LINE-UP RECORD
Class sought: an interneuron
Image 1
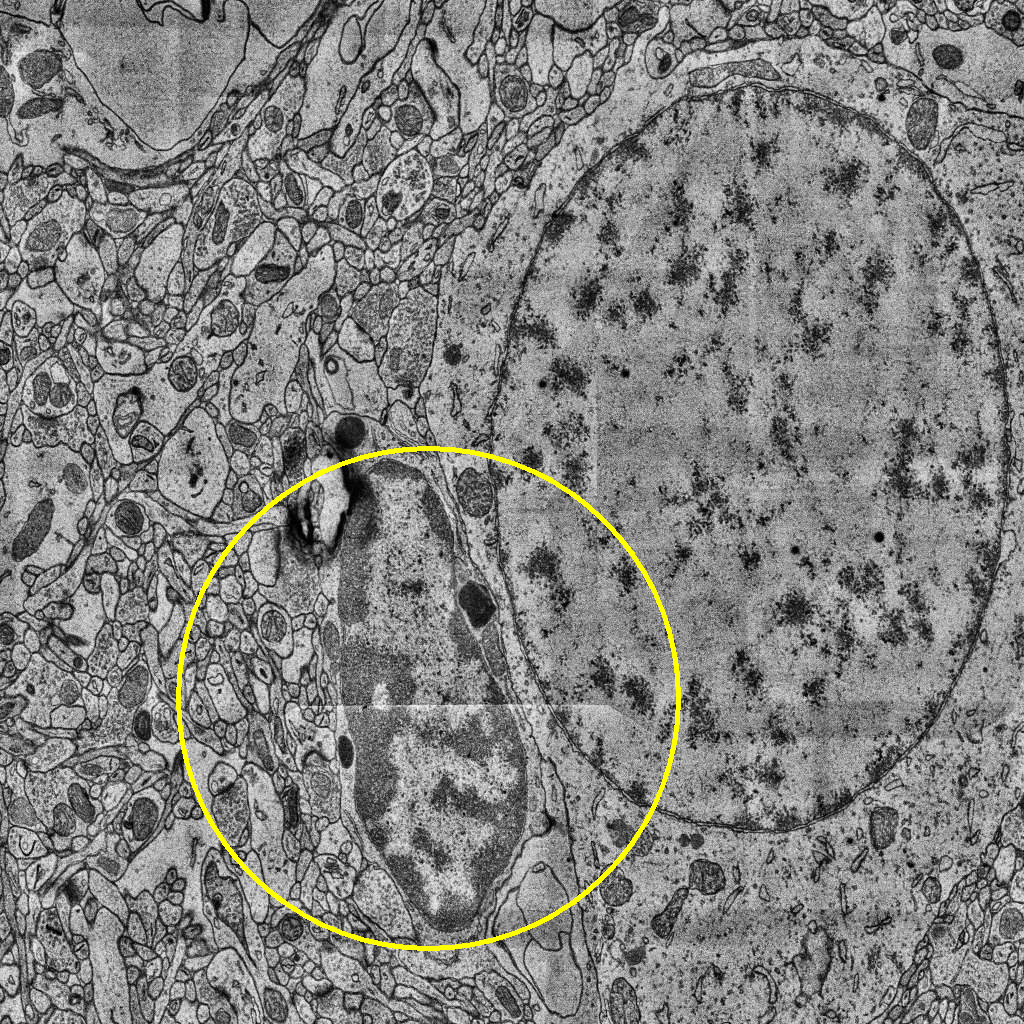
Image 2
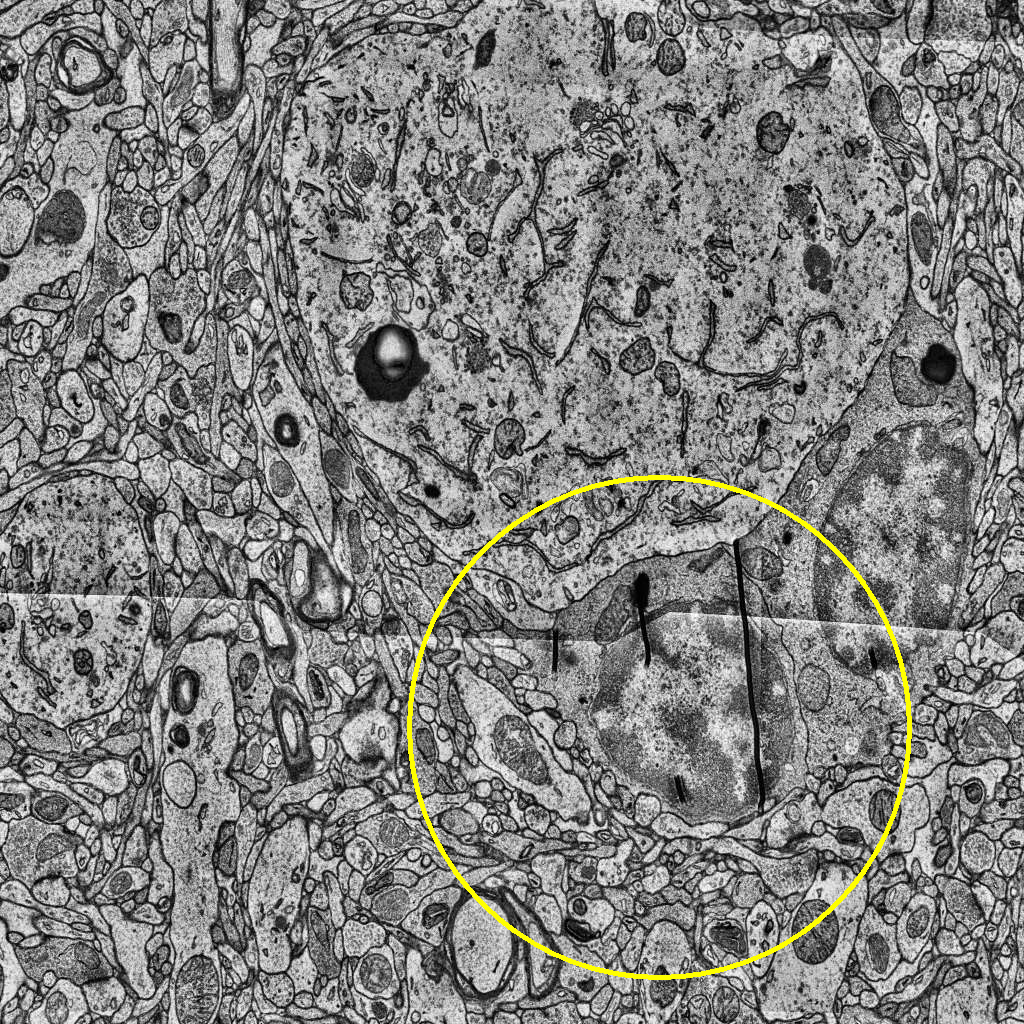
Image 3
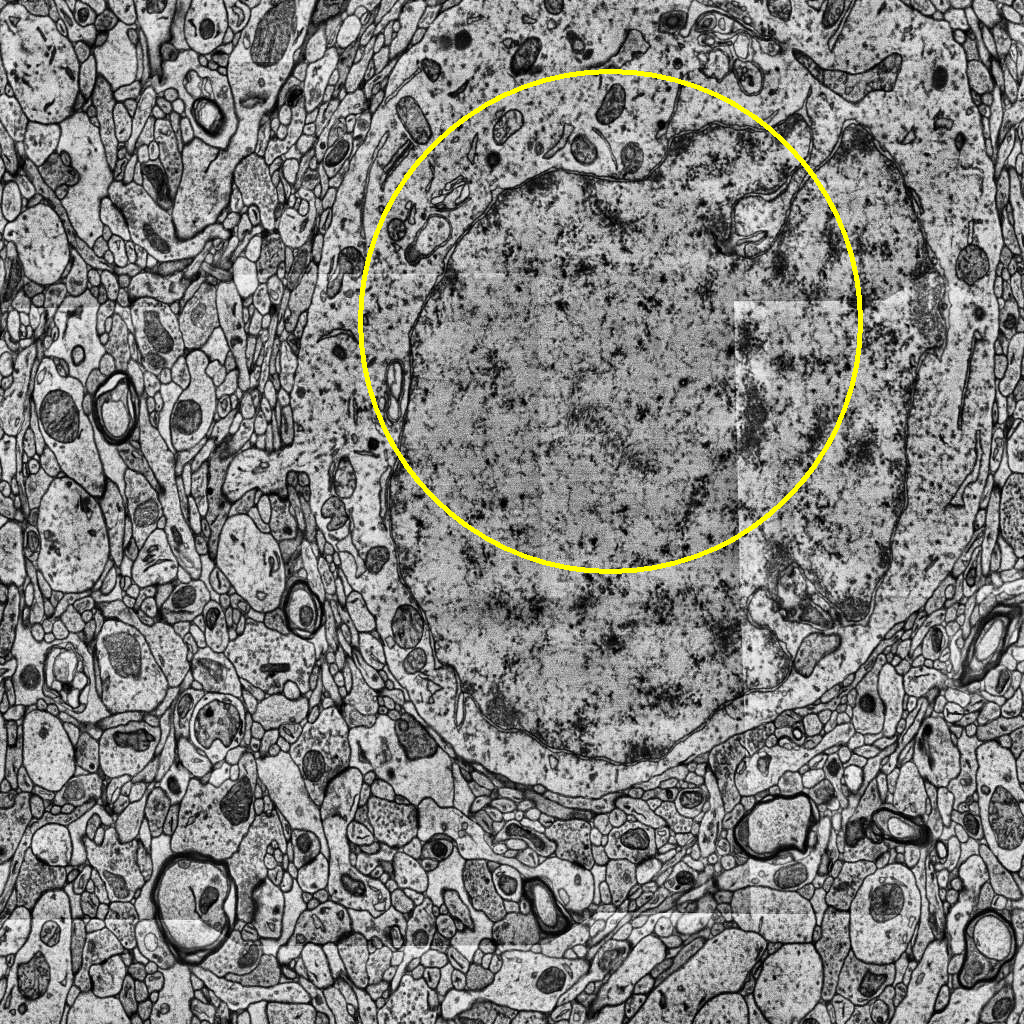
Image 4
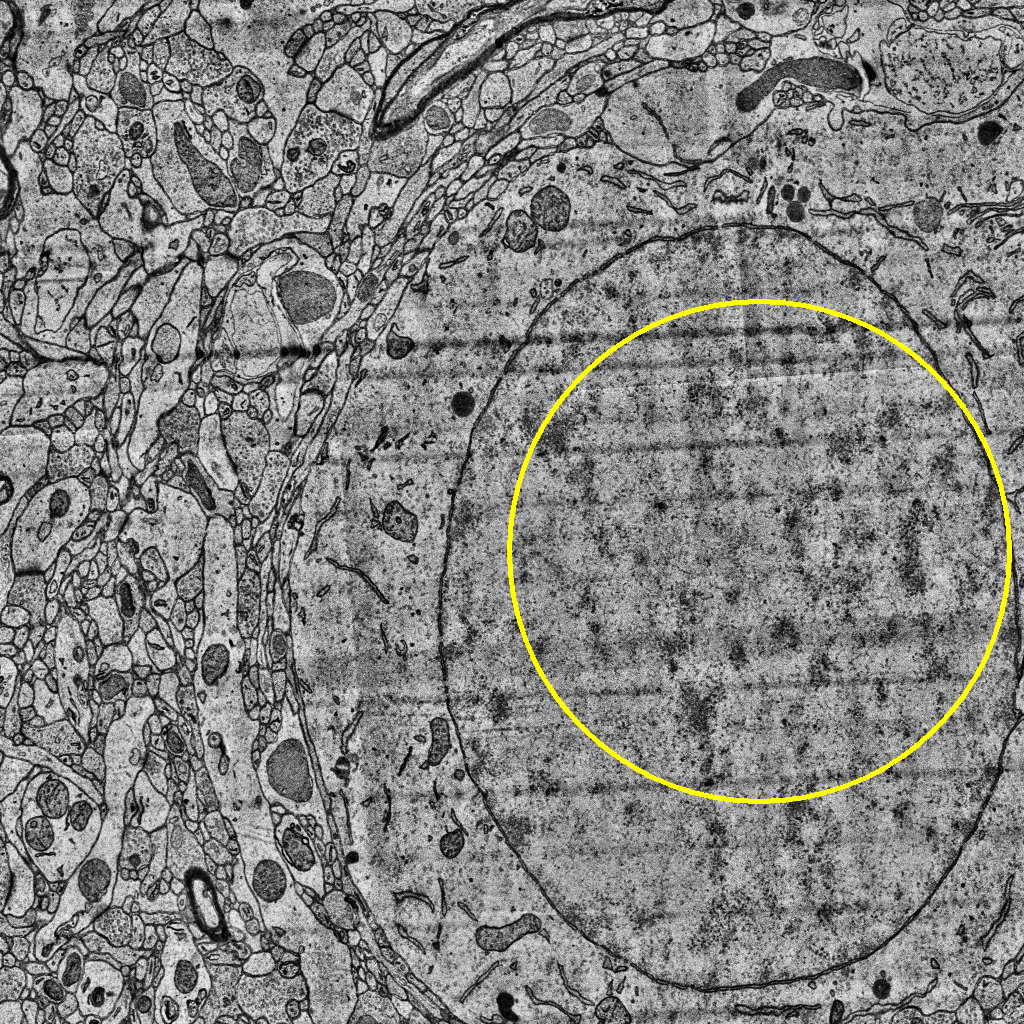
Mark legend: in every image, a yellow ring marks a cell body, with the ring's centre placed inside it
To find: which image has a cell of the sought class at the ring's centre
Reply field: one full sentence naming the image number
The cell lying at the ring's centre in image 3 belongs to the class sought.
